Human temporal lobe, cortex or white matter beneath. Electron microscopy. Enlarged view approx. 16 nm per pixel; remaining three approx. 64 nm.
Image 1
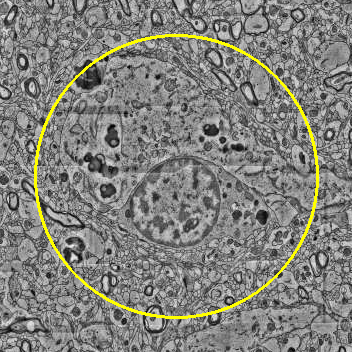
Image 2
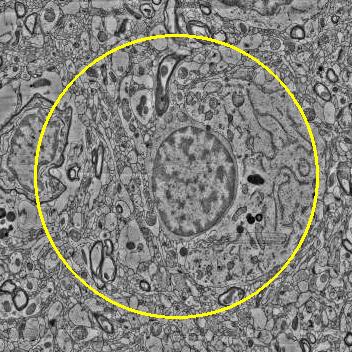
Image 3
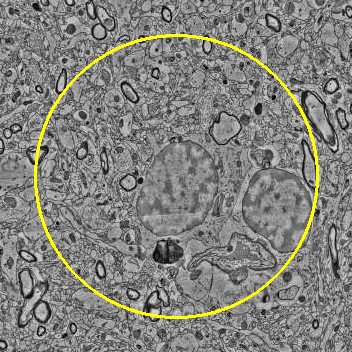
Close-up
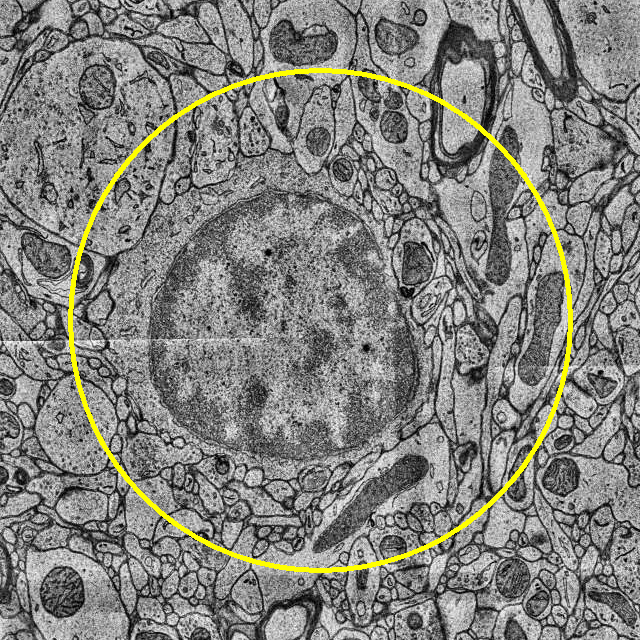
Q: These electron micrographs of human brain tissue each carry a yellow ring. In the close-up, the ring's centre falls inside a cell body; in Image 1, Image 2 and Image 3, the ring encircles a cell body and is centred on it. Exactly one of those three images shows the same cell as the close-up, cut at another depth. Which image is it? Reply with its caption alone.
Image 1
